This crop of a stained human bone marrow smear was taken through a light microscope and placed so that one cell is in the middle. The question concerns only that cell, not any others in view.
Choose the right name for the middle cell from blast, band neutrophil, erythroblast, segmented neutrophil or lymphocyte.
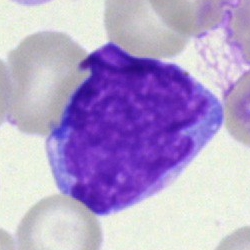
blast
